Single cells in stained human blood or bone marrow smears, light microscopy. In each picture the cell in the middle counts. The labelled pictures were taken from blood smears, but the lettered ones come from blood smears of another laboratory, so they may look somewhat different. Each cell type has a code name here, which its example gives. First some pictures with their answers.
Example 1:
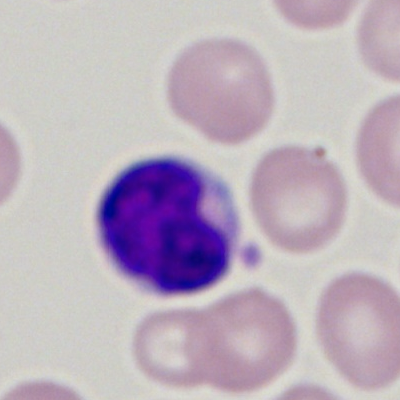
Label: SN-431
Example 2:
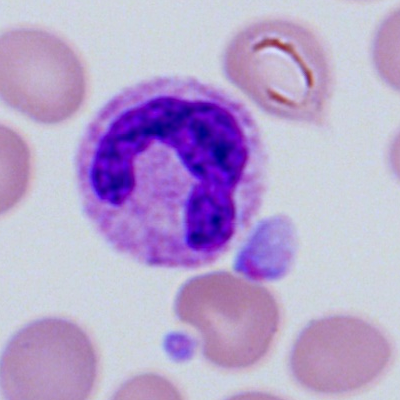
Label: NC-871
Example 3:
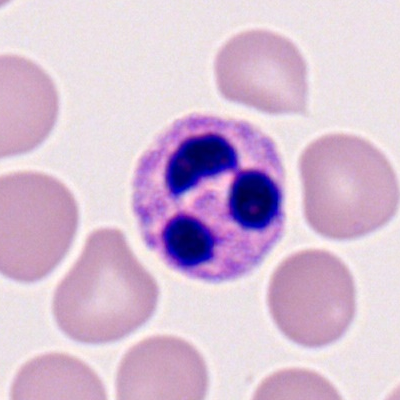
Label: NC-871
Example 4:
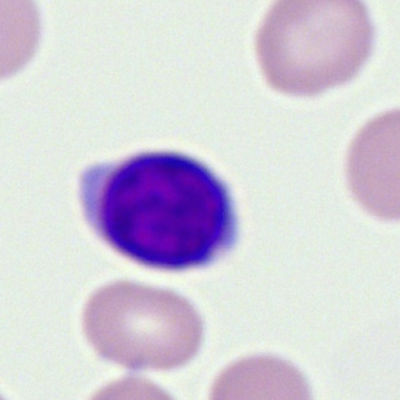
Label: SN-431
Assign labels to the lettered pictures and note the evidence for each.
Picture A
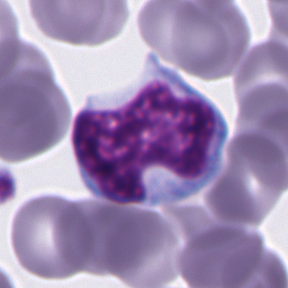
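Label: SN-431. The nucleus fills most of the cell.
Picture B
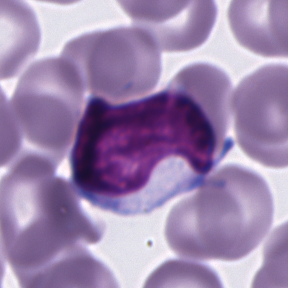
Label: SN-431. The nucleus has a concave lower edge, giving it a bean-like shape.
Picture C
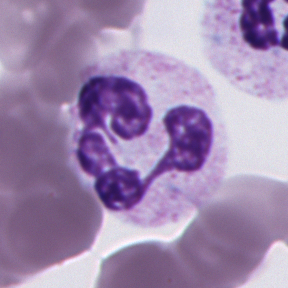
Label: NC-871. The cytoplasm is abundant and pale pink.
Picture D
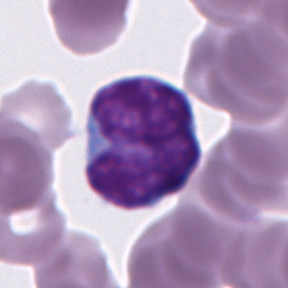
Label: SN-431. Cytoplasm is scant and shows mainly as a small wedge in the left notch of the nucleus.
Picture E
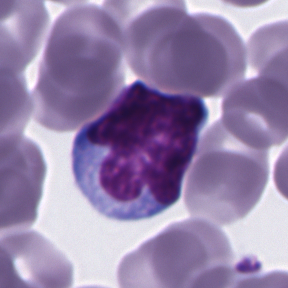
Label: SN-431. The nucleus fills most of the cell and reaches the cell edge along the top and right.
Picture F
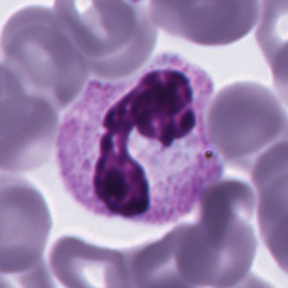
Label: NC-871. The nucleus has two main lobes joined by a narrower strand.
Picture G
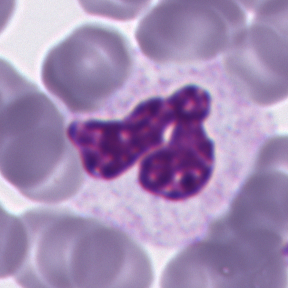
Label: NC-871. A small clear gap lies within the nucleus near its centre, where the two lobes meet.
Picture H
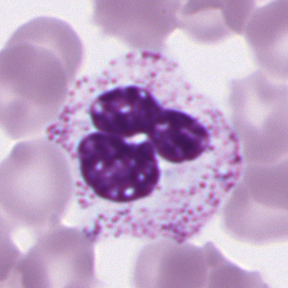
Label: NC-871. The cytoplasm between the granules is pale and nearly colourless.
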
